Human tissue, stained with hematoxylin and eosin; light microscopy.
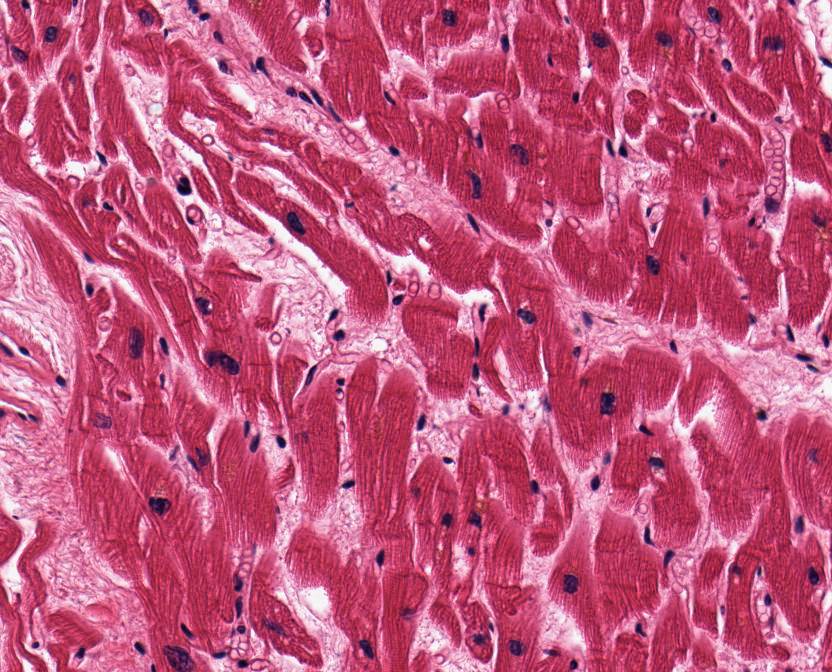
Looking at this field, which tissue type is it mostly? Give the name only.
myocardium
